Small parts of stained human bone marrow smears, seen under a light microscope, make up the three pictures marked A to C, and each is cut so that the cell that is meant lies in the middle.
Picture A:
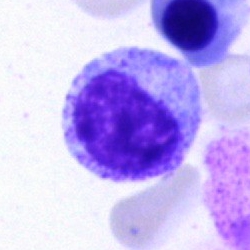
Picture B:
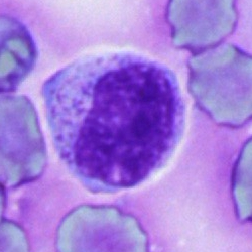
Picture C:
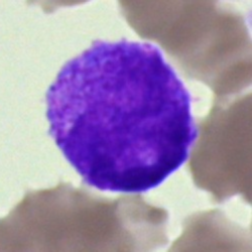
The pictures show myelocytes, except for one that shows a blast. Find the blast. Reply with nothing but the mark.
C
